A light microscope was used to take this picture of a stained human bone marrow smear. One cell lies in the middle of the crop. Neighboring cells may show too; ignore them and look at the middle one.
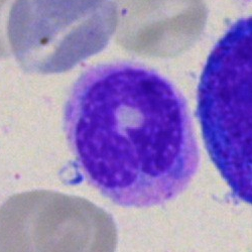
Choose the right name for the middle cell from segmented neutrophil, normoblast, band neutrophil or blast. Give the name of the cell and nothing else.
band neutrophil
